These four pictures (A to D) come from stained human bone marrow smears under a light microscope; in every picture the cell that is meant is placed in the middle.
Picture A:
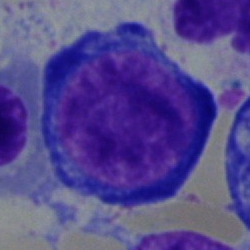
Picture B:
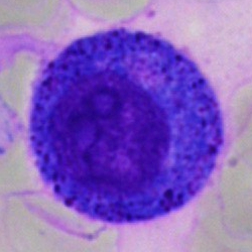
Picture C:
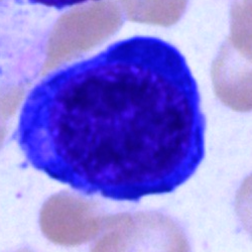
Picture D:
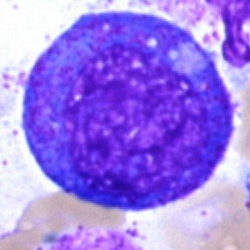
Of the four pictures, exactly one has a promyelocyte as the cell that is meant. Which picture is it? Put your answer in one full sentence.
The promyelocyte is the one in picture D.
